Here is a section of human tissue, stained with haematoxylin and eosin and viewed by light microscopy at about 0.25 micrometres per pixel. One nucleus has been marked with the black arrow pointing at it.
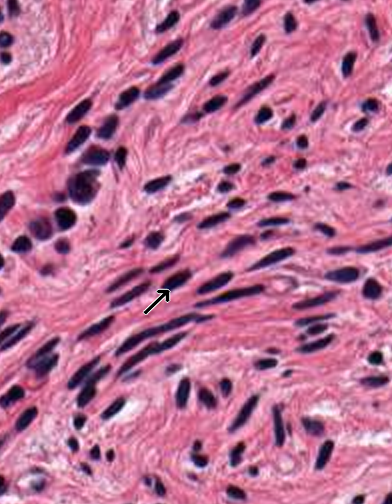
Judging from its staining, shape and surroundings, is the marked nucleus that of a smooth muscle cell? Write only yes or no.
yes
